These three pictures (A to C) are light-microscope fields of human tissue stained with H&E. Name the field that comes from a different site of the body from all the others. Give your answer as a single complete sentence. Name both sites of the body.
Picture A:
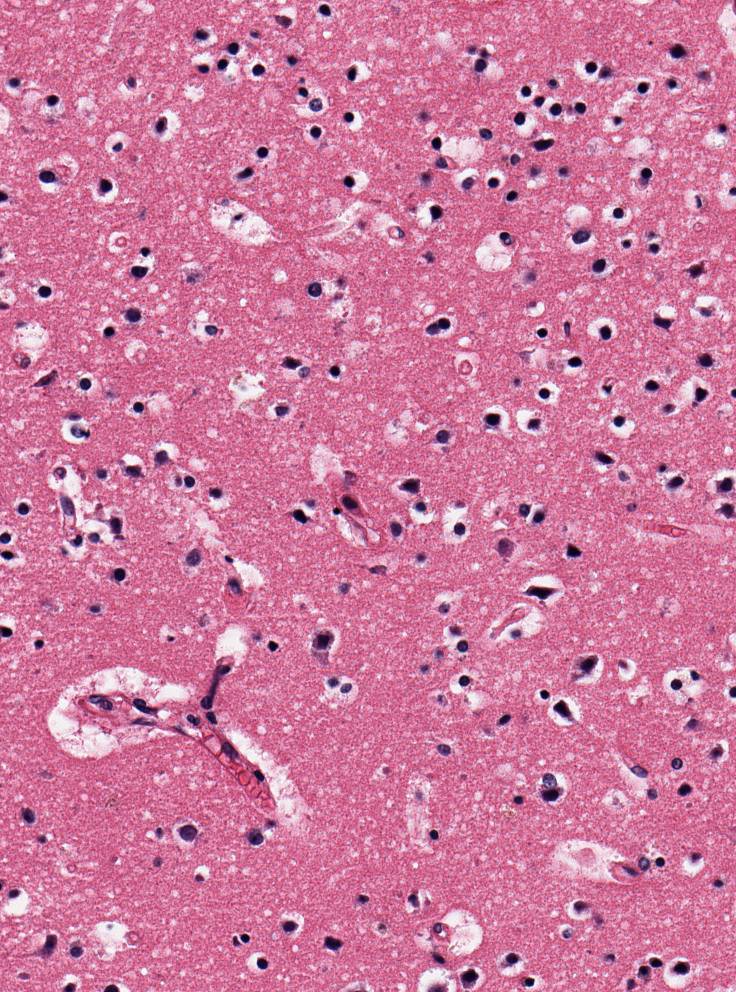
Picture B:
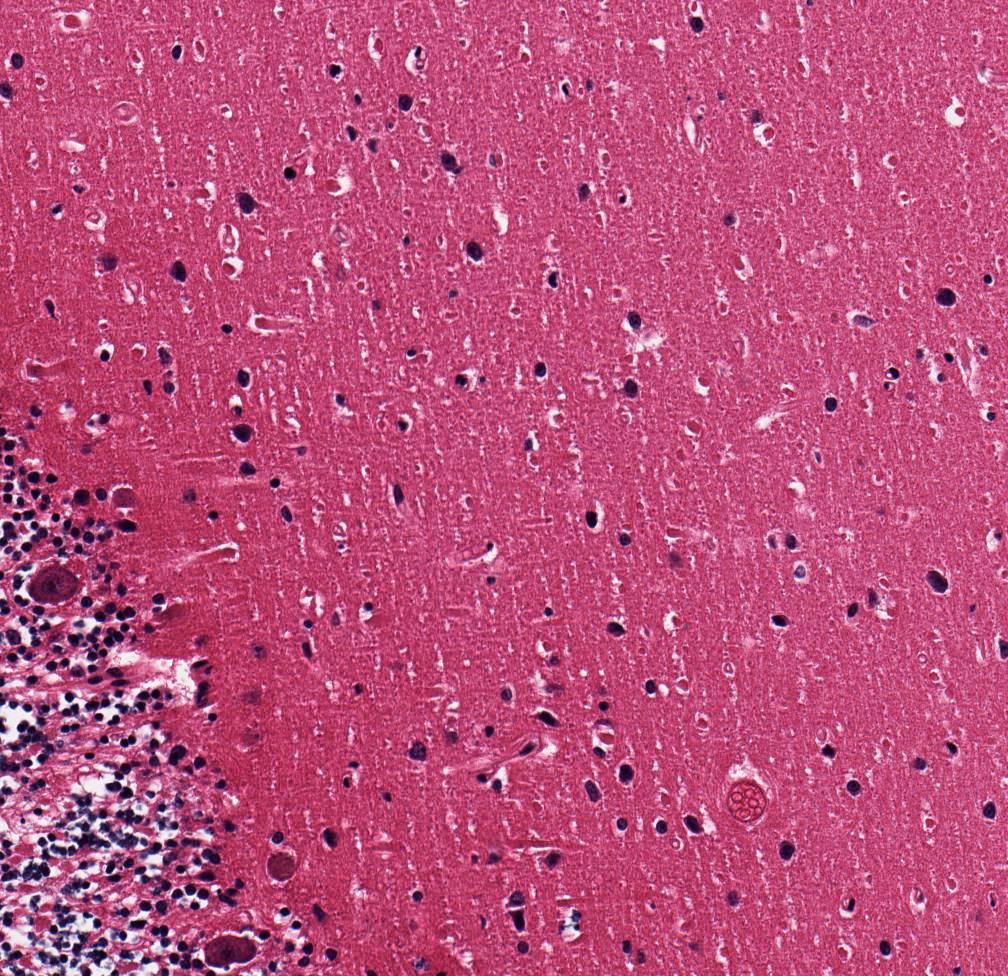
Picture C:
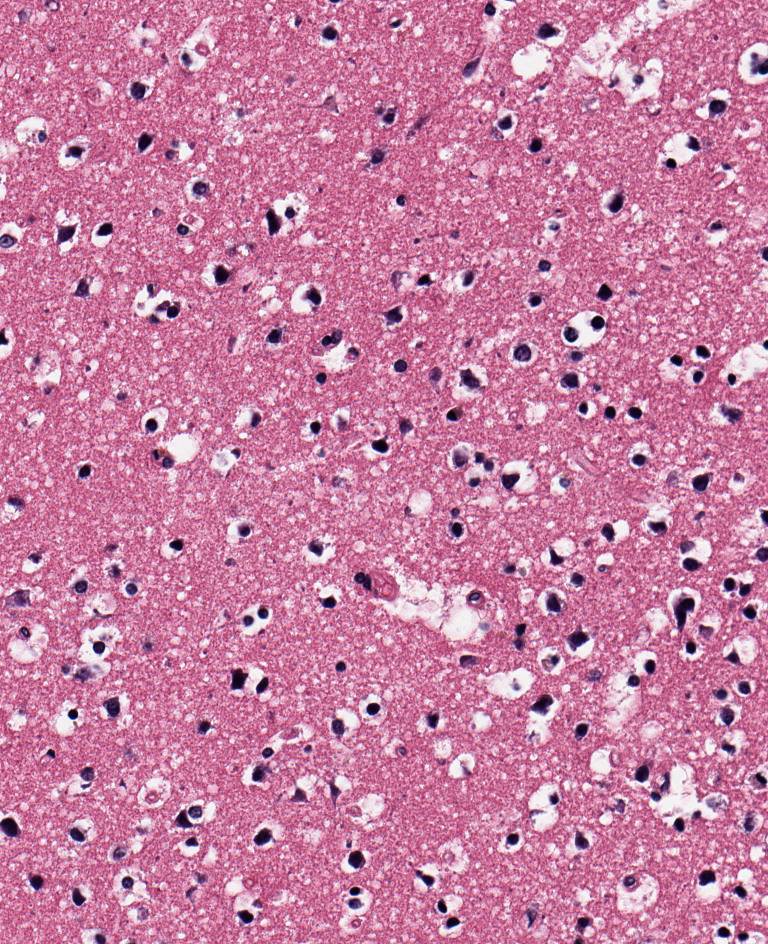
Unlike the rest, which come from the cerebral cortex, picture B comes from the cerebellum.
